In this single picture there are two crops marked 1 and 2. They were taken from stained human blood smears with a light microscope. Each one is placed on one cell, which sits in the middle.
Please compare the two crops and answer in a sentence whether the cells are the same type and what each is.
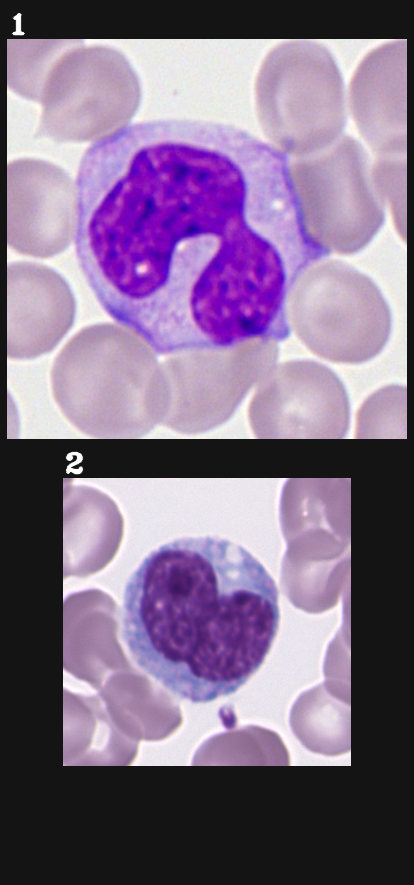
Yes, it is monocytes that both crops show.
